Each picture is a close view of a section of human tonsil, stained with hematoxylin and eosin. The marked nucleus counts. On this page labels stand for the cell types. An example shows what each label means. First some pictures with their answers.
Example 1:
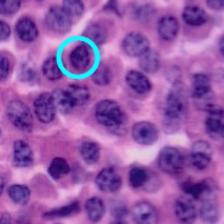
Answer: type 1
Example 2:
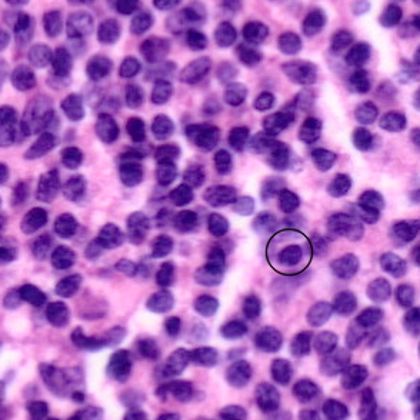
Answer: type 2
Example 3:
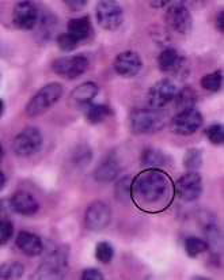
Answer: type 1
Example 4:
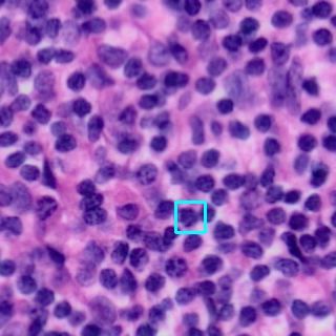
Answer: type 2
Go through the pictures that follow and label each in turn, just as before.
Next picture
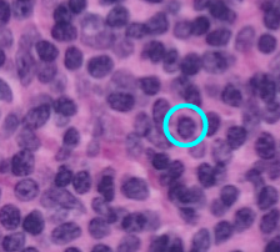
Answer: type 2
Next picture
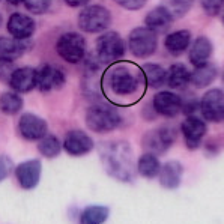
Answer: type 2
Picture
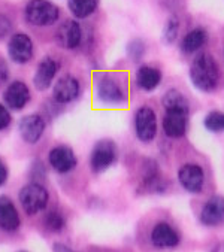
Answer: type 1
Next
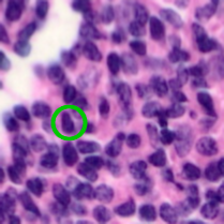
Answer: type 2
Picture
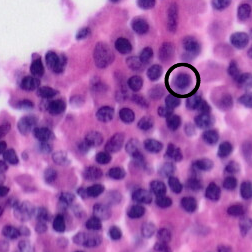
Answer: type 1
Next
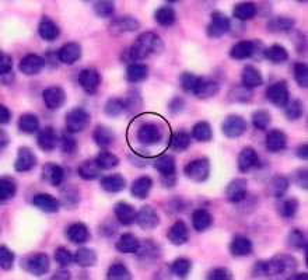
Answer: type 2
